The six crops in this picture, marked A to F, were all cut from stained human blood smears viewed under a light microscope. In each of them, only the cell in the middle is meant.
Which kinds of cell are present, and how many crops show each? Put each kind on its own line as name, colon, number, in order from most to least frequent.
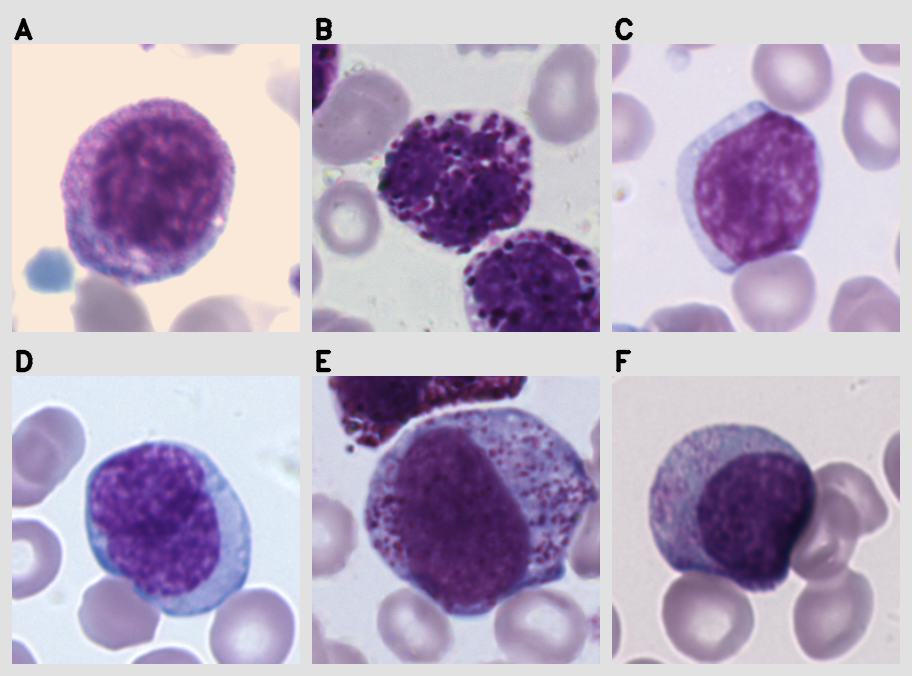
promyelocyte: 3
myeloblast: 2
basophil: 1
